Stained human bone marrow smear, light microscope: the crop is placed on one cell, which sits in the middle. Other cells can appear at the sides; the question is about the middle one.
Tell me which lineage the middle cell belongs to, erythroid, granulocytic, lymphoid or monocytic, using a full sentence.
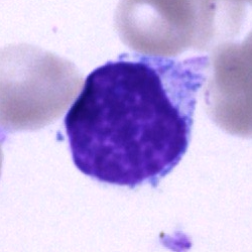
The cell at the center is a representative of the lymphoid lineage.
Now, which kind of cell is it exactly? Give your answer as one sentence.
The cell in the middle of this crop is a lymphocyte.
